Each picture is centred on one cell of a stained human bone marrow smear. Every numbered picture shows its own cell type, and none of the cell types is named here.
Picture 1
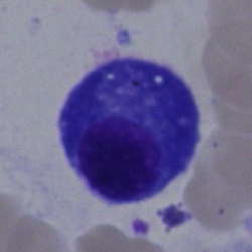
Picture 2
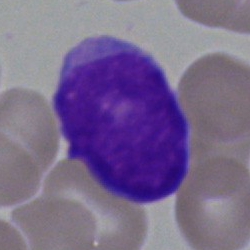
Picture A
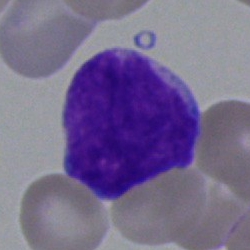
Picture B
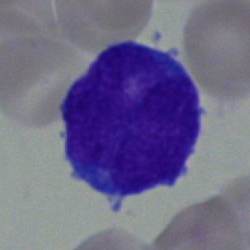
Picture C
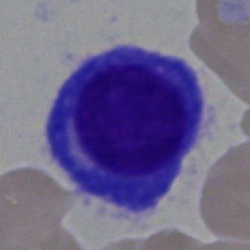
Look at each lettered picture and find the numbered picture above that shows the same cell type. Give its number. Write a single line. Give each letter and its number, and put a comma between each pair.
A 2, B 2, C 1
